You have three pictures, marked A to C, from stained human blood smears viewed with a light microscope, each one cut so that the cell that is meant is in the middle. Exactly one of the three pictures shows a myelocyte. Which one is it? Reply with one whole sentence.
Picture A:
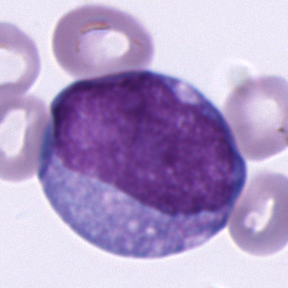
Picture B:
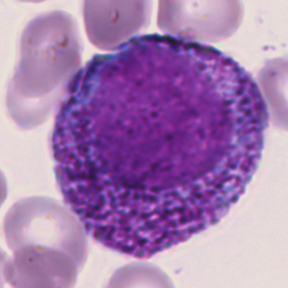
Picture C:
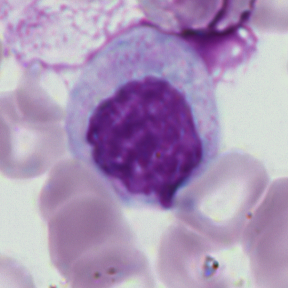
Picture C shows the myelocyte.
